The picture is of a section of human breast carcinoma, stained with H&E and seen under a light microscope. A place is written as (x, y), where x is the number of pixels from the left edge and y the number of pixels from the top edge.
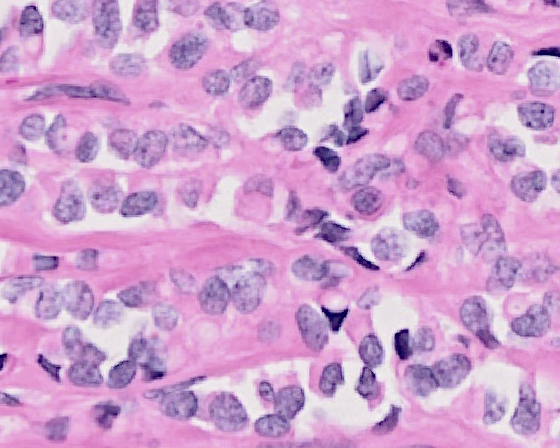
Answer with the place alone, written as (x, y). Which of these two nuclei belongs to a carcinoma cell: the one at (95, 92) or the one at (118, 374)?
(118, 374)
